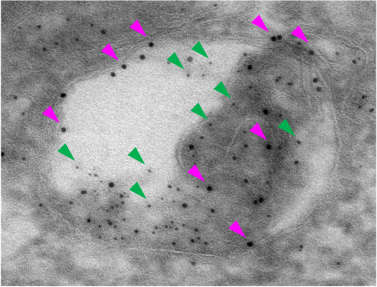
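Black gold particles of two sizes are scattered over the organelle. The larger particles lie mostly along the limiting membrane and on the dense content, and the smaller ones lie within the content. The surrounding cytoplasm is finely granular and grey.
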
